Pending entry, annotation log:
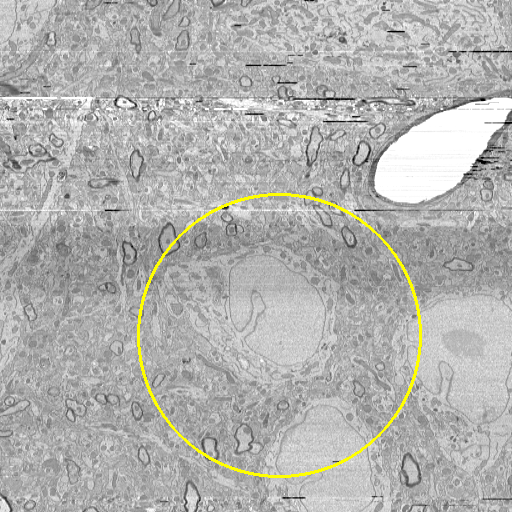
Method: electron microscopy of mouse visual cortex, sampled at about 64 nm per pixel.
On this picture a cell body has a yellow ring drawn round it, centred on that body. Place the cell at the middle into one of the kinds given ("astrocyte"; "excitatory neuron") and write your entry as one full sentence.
The cell body at the middle of the yellow ring belongs to an excitatory neuron.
